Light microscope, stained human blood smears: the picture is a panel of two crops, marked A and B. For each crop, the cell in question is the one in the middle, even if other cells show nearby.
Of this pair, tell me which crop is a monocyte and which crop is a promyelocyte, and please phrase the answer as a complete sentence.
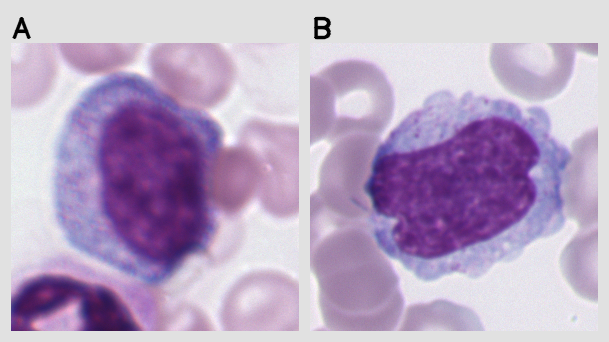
Whereas crop A contains a promyelocyte, crop B contains a monocyte.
